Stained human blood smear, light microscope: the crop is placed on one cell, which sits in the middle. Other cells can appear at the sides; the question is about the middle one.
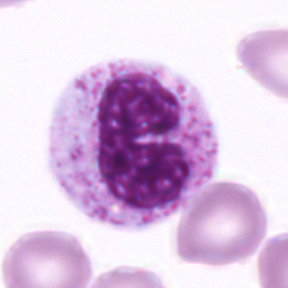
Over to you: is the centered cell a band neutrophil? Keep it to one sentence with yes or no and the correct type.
Yes, the cell found at the centre of the crop is a band neutrophil.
